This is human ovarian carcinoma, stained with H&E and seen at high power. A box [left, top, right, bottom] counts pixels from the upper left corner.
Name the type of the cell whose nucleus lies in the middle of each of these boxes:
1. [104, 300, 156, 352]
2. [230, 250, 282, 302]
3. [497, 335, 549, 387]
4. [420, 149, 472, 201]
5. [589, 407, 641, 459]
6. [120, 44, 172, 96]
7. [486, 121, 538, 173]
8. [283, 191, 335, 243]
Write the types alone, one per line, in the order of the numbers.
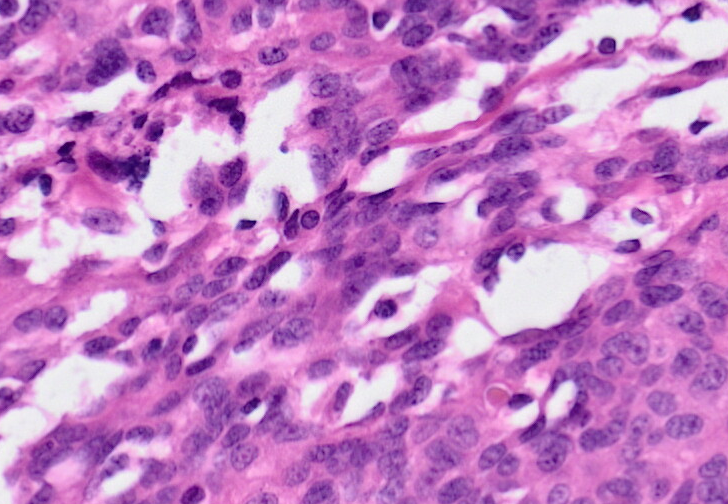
macrophage or monocyte
carcinoma cell
carcinoma cell
carcinoma cell
carcinoma cell
macrophage or monocyte
carcinoma cell
macrophage or monocyte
